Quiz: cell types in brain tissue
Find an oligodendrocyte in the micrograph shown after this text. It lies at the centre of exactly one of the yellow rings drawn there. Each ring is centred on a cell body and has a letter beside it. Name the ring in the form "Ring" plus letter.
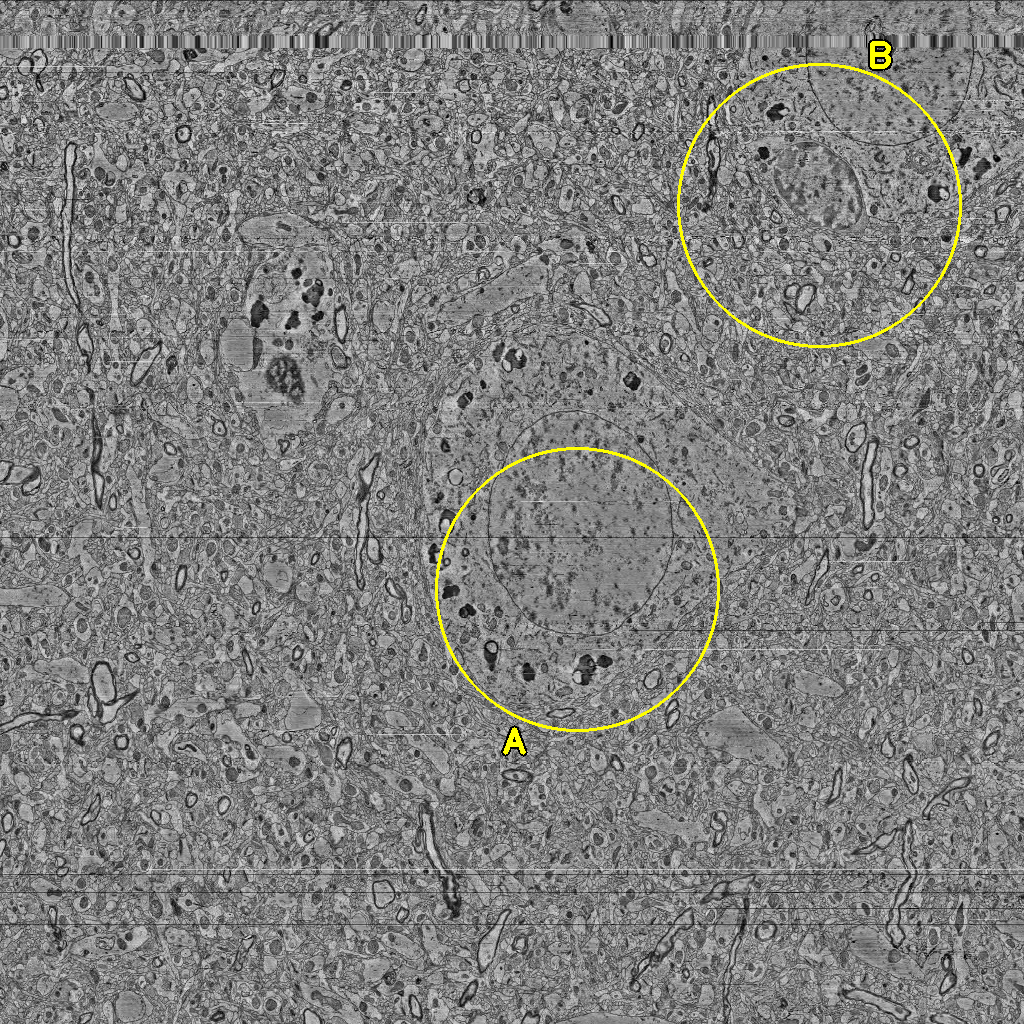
Ring B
